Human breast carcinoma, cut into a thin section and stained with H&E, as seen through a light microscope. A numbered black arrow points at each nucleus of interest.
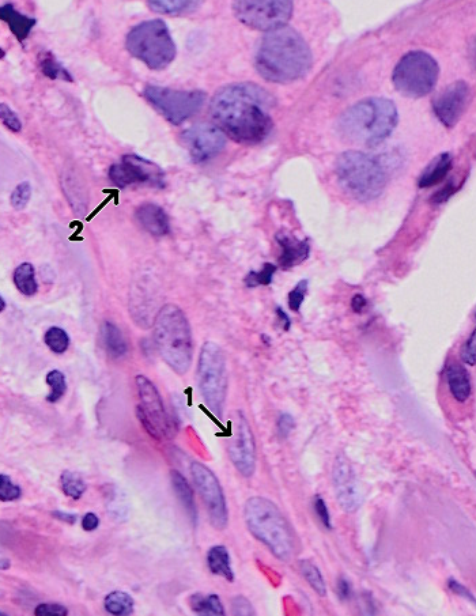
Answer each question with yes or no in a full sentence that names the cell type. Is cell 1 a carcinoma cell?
No, the cell that carries number 1 is an endothelial cell, not a carcinoma cell.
